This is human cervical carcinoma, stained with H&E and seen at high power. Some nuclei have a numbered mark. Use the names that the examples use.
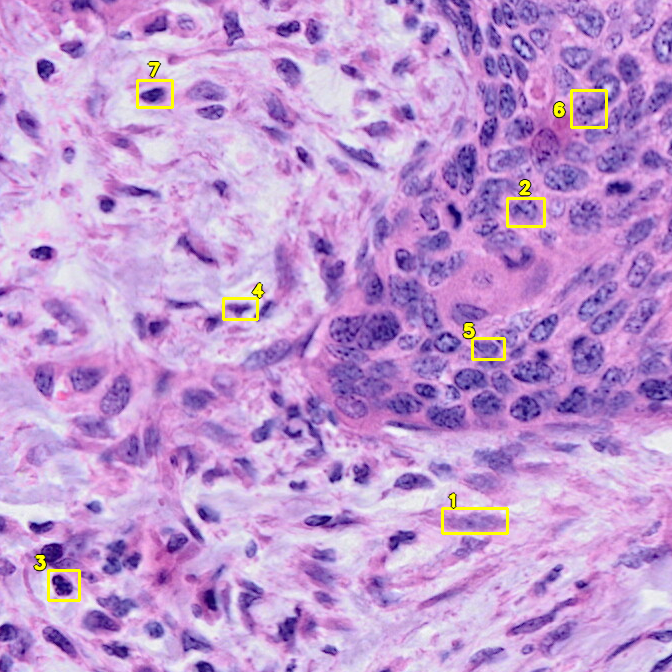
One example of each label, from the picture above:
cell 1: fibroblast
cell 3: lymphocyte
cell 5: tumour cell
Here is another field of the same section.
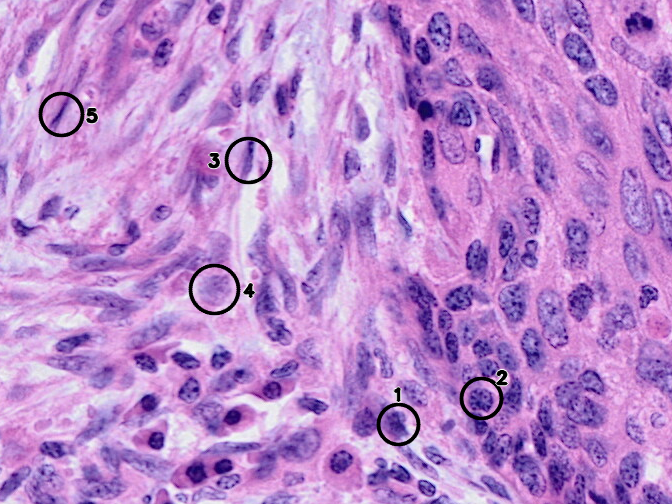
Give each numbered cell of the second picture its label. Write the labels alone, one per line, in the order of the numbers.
lymphocyte
tumour cell
fibroblast
fibroblast
fibroblast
